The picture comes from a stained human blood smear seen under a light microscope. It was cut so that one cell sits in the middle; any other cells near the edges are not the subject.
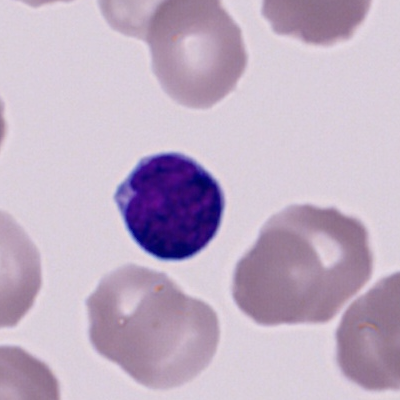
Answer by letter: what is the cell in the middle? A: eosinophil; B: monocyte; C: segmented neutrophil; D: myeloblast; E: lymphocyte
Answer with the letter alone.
E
